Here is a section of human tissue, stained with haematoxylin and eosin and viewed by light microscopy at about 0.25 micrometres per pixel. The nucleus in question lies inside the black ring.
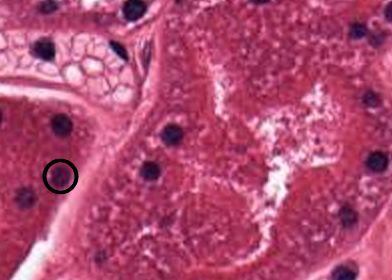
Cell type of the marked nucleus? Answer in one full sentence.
To a proximal tubule cell belongs the marked nucleus.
